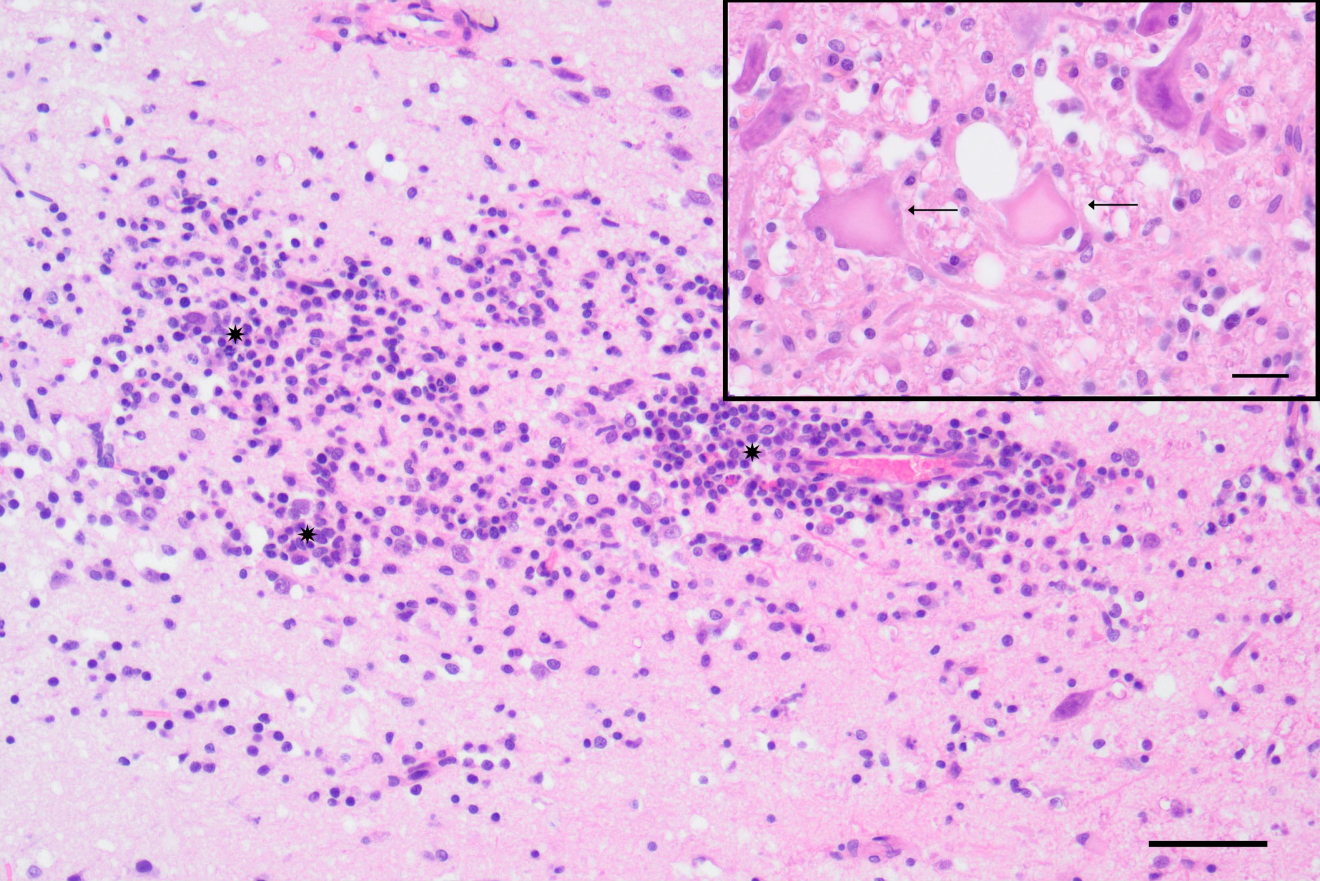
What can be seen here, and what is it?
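This is brain gray matter with a dense cluster of inflammatory cells, lymphocytes, histiocytes and plasma cells, infiltrating the pale pink neuropil. The cluster is made mostly of small round cells with dark purple nuclei, with some larger cells with paler oval nuclei, and it extends along a blood vessel holding red cells. Around it, scattered glial nuclei and a few neurons with purple cytoplasm lie in a finely vacuolated neuropil. In the inset, some neurons are shrunken and angular with homogeneous bright pink cytoplasm and no clear nucleus, lying among vacuolated neuropil.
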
